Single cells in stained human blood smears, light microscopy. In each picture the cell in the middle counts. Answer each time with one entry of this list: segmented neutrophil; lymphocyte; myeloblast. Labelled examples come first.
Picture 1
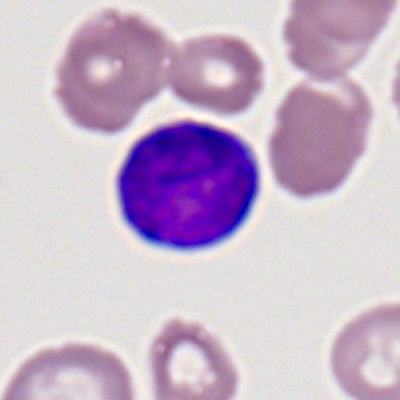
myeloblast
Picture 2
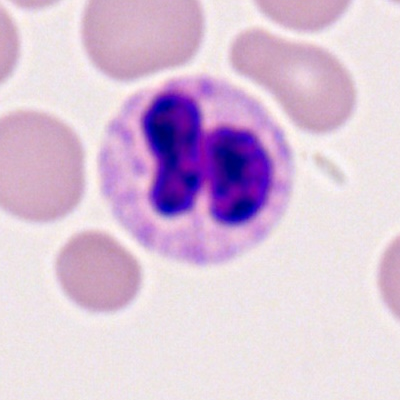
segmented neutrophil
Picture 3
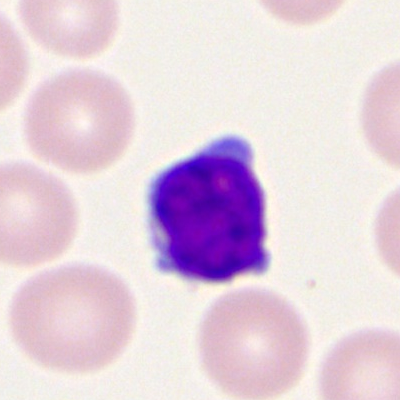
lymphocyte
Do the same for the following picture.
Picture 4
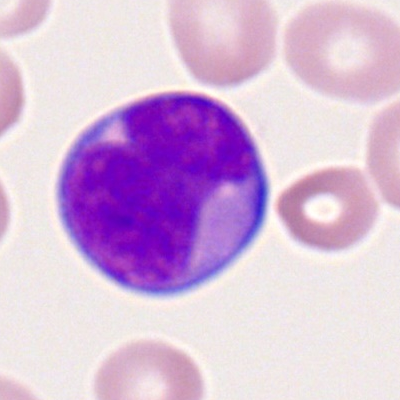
myeloblast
